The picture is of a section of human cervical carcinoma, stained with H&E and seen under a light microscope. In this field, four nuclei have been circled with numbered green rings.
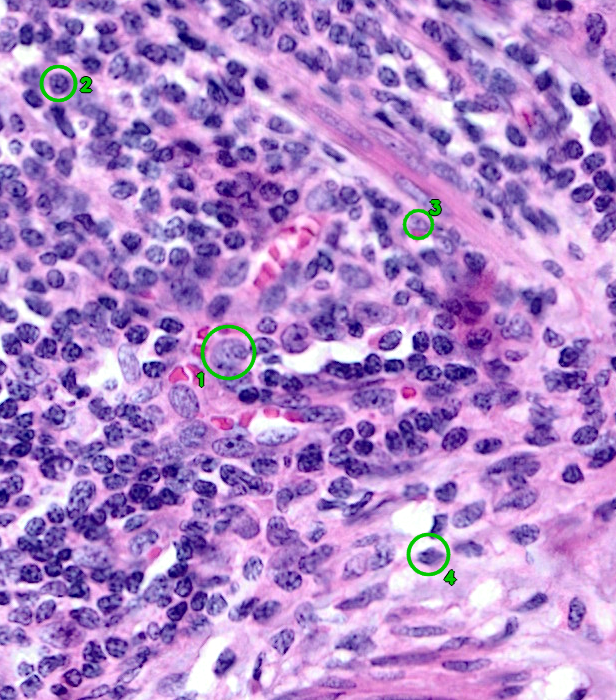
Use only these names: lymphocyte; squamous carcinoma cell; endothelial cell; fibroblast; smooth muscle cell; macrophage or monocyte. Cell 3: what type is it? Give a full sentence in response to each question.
The cell tagged with 3 in this tissue section is an endothelial cell.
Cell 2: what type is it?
Nucleus 2 in this section belongs to a lymphocyte.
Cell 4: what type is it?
Looking at the numbered marks, cell 4 is a lymphocyte.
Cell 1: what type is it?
At number 1, the marked cell is an endothelial cell.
